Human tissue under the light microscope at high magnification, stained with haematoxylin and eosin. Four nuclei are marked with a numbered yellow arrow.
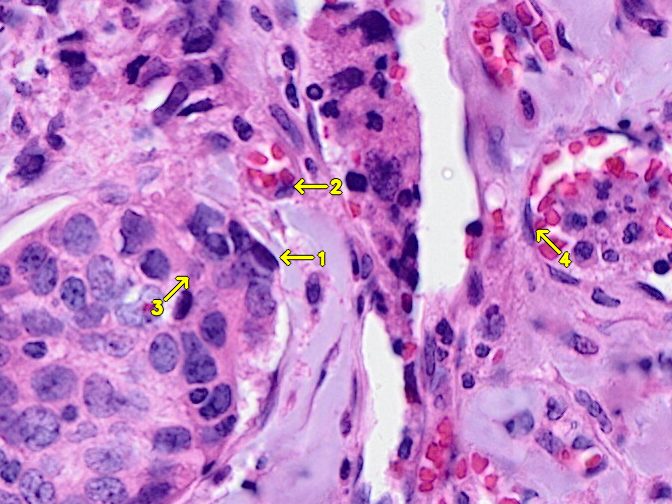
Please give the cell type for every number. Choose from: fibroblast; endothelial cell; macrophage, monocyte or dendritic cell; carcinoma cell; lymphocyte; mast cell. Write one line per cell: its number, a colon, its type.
1: carcinoma cell
2: endothelial cell
3: carcinoma cell
4: endothelial cell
